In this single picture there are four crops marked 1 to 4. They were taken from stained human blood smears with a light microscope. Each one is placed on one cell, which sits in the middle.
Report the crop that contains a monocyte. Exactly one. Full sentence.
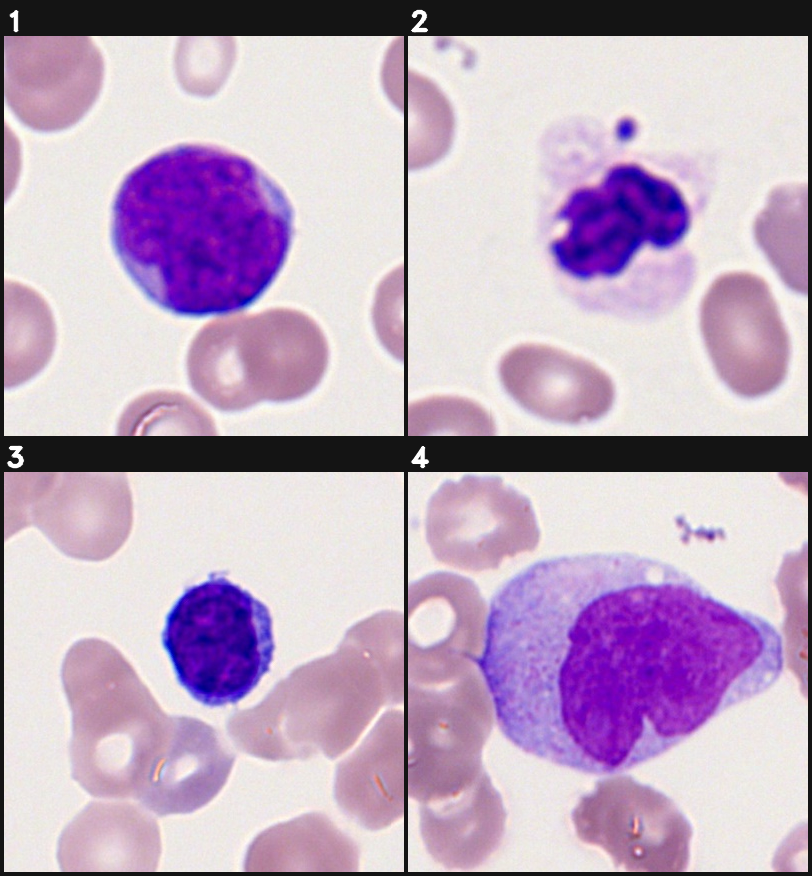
In this series, a monocyte is shown by crop 4.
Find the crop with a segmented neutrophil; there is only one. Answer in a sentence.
Of the crops given, a segmented neutrophil is found in crop 2.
